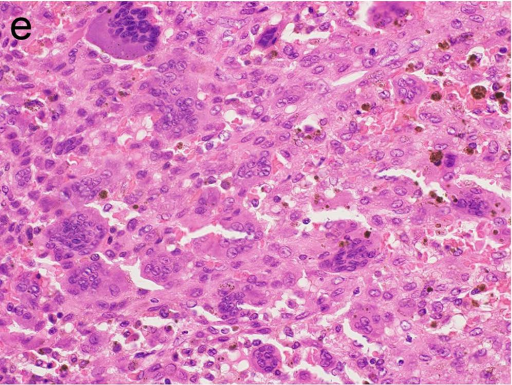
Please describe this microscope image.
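This lesion shows a diffuse spread of mononuclear to spindle cells with scattered osteoclast-like giant cells. The mononuclear cells have oval nuclei and pink cytoplasm and show no marked atypia. The giant cells are large and hold clusters of many dark nuclei. Brown granules of pigment lie scattered between the cells. Slit-like spaces and extravasated red blood cells run through the tissue.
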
